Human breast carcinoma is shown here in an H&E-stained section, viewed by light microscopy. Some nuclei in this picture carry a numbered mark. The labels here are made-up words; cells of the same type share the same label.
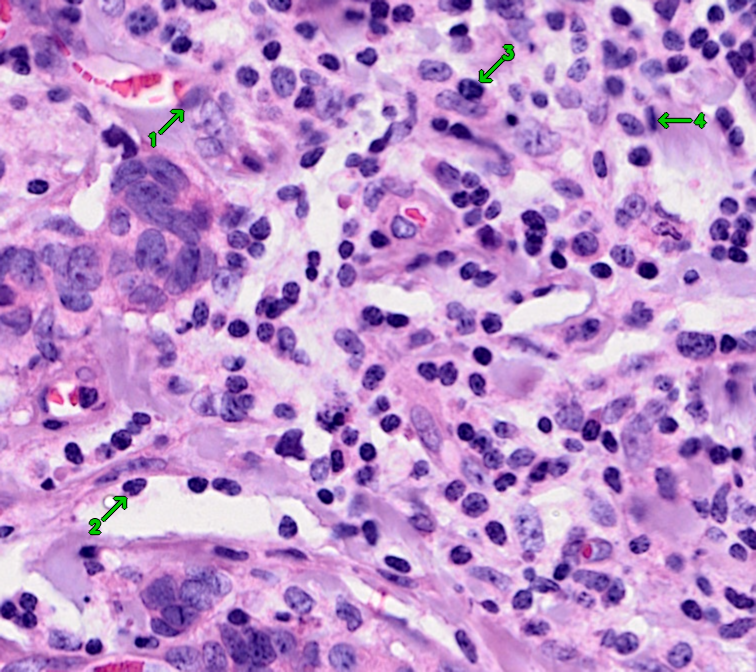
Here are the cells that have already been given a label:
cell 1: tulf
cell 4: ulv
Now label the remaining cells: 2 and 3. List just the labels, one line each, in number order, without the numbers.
ulv
ulv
